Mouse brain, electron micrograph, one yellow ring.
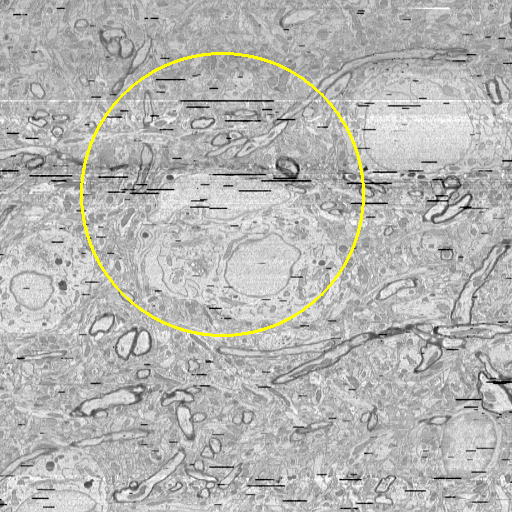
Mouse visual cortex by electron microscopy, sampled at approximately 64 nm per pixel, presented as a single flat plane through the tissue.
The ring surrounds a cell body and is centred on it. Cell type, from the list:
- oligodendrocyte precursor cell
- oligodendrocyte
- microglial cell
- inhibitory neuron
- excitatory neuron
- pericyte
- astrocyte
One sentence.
The yellow ring circles an oligodendrocyte precursor cell.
